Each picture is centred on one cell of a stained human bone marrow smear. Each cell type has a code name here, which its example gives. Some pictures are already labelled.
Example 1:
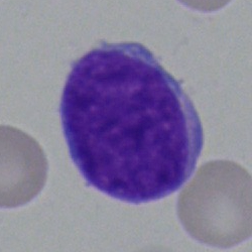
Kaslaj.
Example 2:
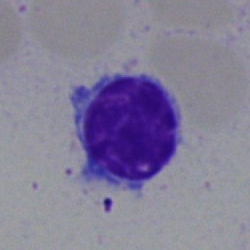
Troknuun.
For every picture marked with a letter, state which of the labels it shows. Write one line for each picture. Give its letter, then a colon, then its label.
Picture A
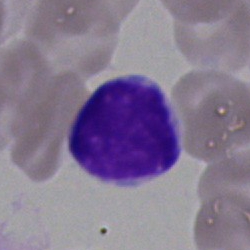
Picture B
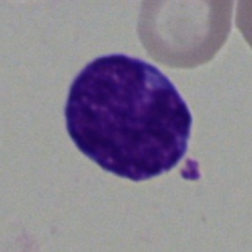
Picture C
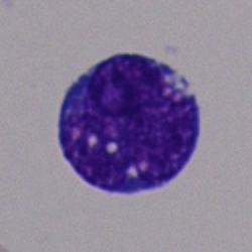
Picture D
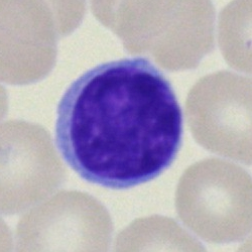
A: Troknuun.
B: Kaslaj.
C: Kaslaj.
D: Troknuun.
